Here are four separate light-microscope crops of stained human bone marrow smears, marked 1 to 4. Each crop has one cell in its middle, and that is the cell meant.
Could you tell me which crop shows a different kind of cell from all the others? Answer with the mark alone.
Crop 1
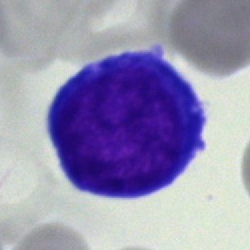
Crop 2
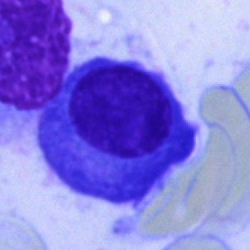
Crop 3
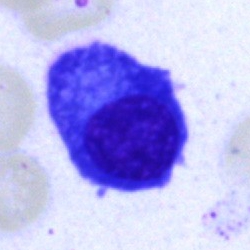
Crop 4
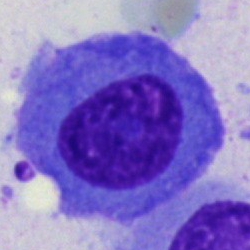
1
